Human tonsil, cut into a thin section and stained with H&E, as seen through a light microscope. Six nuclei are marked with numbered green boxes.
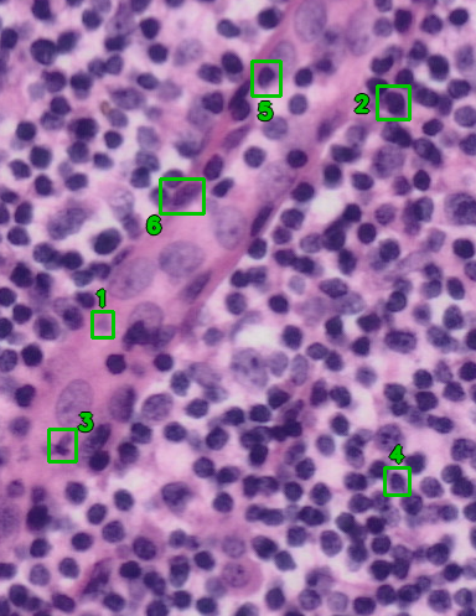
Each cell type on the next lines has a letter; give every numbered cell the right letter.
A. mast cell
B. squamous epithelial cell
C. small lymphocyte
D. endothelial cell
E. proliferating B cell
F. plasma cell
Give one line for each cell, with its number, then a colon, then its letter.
1: D
2: C
3: D
4: C
5: D
6: D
